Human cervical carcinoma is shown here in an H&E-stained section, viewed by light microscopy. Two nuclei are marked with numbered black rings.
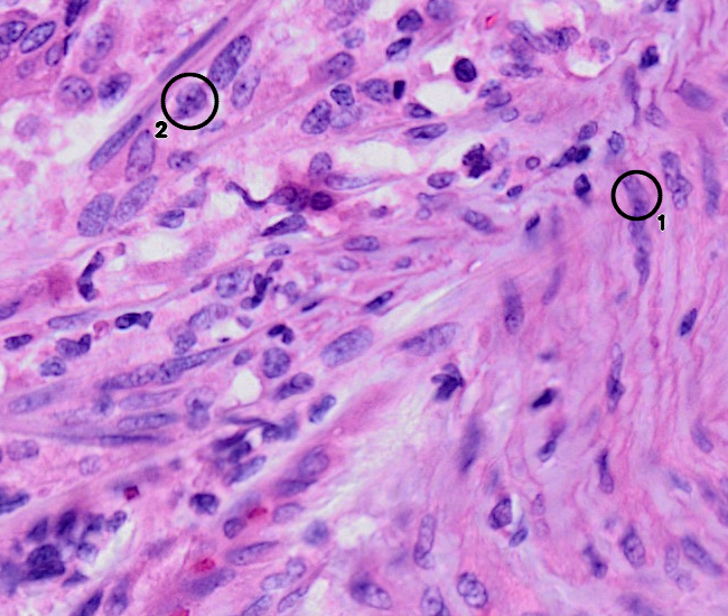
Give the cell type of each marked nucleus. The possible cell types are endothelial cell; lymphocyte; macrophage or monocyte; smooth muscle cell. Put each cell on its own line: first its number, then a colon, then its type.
1: smooth muscle cell
2: macrophage or monocyte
